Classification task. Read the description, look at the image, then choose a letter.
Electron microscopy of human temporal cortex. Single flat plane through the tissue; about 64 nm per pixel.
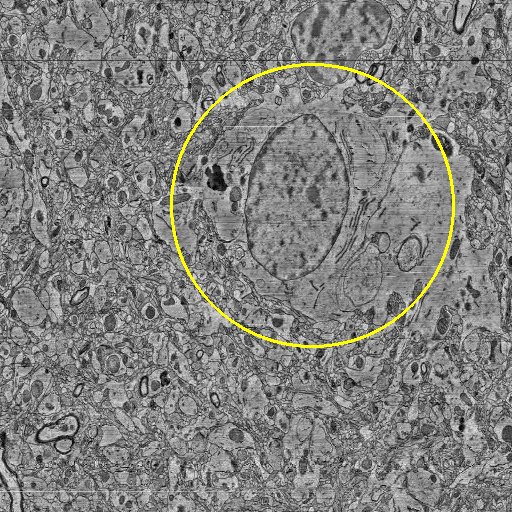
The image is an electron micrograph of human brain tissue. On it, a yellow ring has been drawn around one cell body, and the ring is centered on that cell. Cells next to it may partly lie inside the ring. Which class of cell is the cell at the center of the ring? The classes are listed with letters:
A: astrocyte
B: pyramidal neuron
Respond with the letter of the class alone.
A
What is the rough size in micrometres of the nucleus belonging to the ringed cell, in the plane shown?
In this plane the nucleus measures about 11 by 6 micrometres and is clearly longer than it is wide.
